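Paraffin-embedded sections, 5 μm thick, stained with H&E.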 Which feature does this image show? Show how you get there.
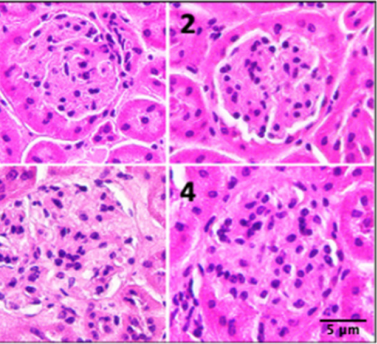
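Each of the four images is centred on a rounded tuft of capillary loops and nuclei. Pink-stained tubules surround each tuft.
Glomeruli.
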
